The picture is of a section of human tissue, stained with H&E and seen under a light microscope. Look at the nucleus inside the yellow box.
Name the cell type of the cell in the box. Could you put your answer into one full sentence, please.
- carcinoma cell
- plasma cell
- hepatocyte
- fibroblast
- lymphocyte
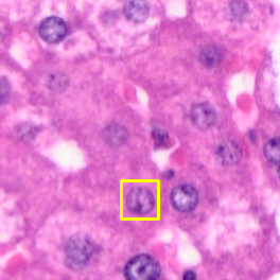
Within the stained tissue, the cell in the box is a hepatocyte.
